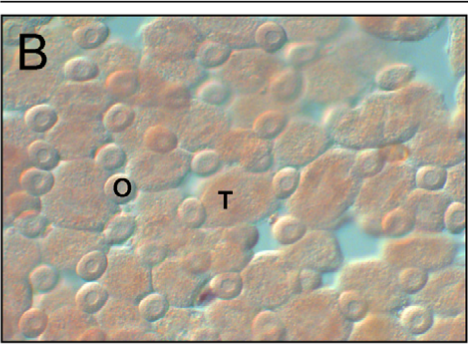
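A single sheet of fat body cells is seen, made of two kinds of cells. Large polygonal trophocytes with finely granular, pale pinkish cytoplasm fit closely against one another. Between them lie many smaller, round oenocytes, each with a smooth rim and a prominent round central nucleus. The oenocytes are scattered fairly evenly through the sheet, often at the corners where trophocytes meet. The overall reddish tint is faint, with small gaps of clear background between some cells.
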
